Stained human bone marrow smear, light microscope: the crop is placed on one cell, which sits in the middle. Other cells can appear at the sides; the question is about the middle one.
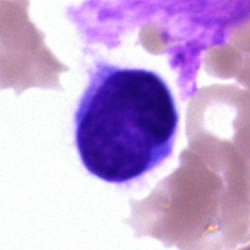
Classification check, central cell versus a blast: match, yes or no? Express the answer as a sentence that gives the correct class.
No, that would be a lymphocyte, not a blast, for the cell at the centre.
